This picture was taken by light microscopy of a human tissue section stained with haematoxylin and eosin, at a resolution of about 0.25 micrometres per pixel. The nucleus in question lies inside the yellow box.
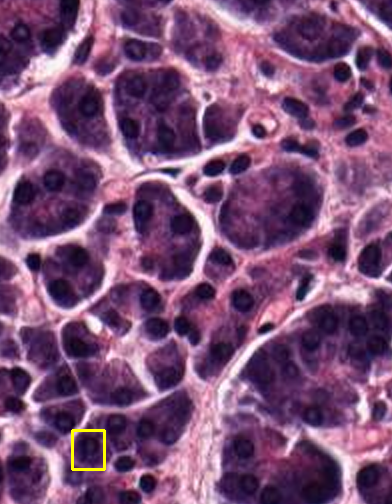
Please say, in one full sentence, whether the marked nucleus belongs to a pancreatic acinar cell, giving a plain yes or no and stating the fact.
Yes, a pancreatic acinar cell is the owner of the marked nucleus.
